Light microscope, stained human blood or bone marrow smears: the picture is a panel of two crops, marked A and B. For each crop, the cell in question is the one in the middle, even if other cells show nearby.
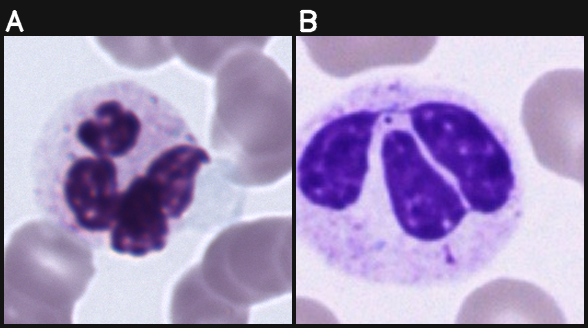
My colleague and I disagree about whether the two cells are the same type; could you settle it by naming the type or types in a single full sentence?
Yes, both crops do show segmented neutrophils in the middle.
